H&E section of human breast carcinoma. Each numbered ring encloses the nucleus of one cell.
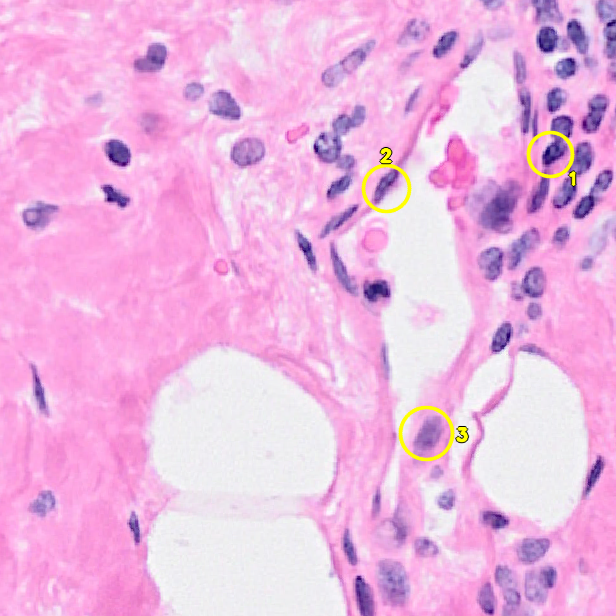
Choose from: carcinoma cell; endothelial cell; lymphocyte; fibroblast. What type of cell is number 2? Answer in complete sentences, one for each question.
The nucleus marked 2 is the nucleus of an endothelial cell.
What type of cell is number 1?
The numbered cell 1 is identified here as a lymphocyte.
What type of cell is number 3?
The nucleus with number 3 is that of an endothelial cell.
